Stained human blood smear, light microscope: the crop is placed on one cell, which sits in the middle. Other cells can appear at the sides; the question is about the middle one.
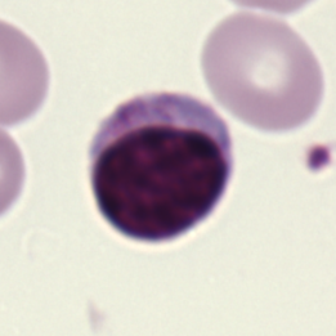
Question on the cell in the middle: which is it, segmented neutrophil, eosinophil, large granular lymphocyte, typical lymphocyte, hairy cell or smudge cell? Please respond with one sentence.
As for the cell in the middle, it is a large granular lymphocyte.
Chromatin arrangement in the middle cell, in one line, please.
The chromatin within its nucleus forms coarse clumps.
